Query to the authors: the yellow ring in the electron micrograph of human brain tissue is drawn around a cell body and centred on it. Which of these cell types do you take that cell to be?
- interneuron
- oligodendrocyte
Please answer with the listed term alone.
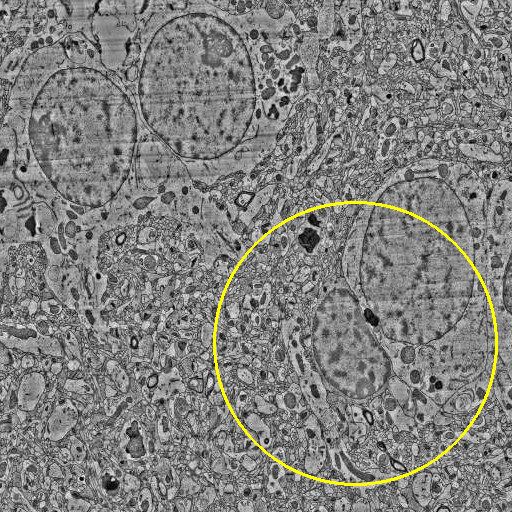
oligodendrocyte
